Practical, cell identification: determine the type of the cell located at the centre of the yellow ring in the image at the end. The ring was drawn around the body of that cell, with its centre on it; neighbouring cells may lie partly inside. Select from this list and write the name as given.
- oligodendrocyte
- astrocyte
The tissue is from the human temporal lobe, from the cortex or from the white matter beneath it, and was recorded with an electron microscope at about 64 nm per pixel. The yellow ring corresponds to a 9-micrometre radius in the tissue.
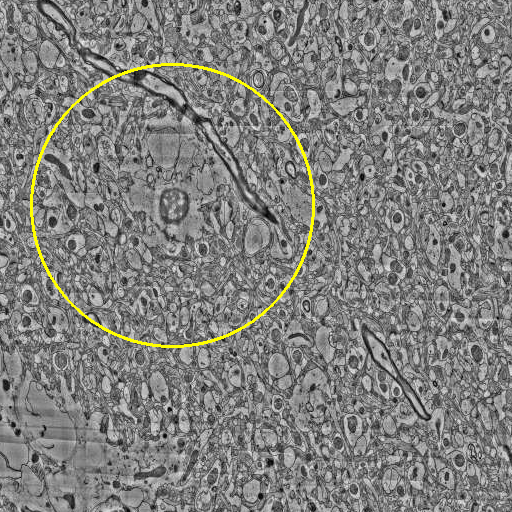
astrocyte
